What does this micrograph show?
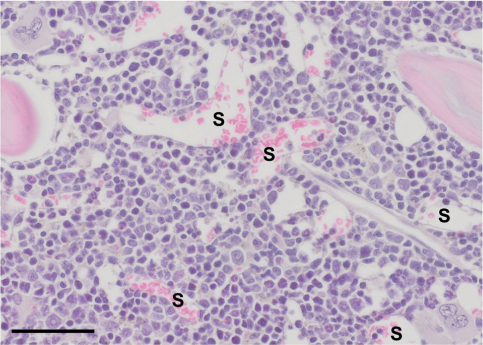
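This section of bone marrow shows densely packed haematopoietic cells lying between pink-stained bony trabeculae at the edges of the field. Most cells are small and round, with dark purple nuclei and scant cytoplasm. Thin-walled sinusoids run through the tissue as clear channels filled with small red-pink red blood cells. A few very large cells with abundant cytoplasm and large, lobed nuclei are scattered among the smaller cells. Only a few empty round spaces of fat cells are present.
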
